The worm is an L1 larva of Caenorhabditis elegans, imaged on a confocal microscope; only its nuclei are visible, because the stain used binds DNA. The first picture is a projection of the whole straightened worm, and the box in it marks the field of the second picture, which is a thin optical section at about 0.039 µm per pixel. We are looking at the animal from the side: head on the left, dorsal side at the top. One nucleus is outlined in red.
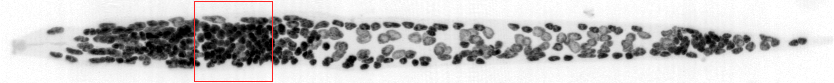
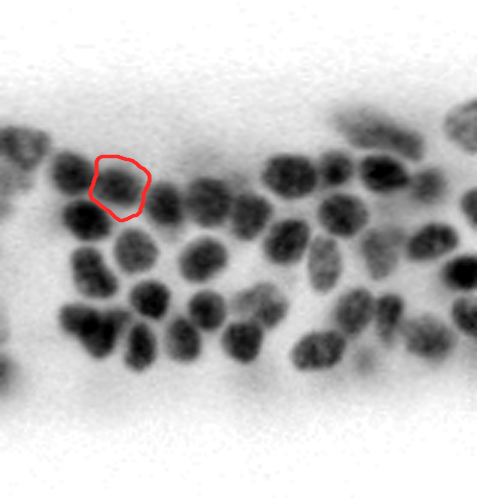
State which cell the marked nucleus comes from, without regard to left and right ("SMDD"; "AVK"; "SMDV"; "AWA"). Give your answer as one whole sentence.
This is the nucleus of SMDV, a neuron.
